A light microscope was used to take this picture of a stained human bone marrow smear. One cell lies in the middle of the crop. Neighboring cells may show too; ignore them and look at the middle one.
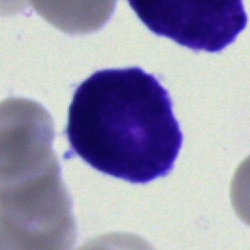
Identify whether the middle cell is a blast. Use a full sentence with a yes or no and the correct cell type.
Yes, that is right: the middle cell is a blast.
